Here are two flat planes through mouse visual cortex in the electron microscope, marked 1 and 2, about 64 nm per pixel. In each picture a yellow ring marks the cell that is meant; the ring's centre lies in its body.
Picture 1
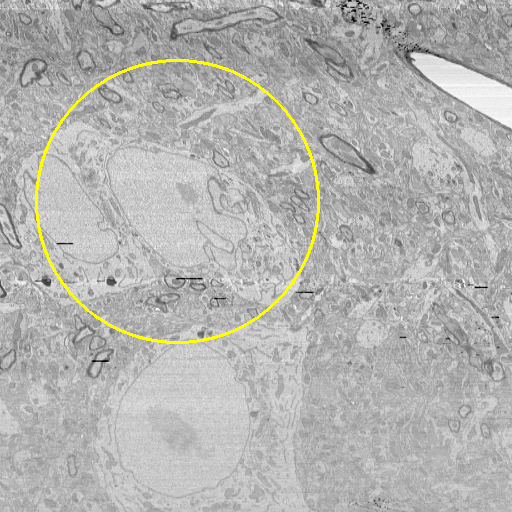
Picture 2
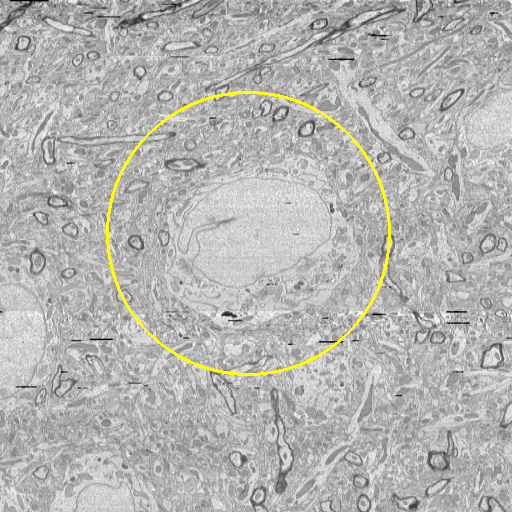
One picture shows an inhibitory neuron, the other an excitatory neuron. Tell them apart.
Picture 1 shows an inhibitory neuron and picture 2 shows an excitatory neuron.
